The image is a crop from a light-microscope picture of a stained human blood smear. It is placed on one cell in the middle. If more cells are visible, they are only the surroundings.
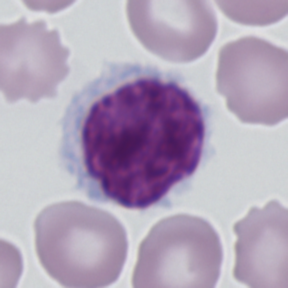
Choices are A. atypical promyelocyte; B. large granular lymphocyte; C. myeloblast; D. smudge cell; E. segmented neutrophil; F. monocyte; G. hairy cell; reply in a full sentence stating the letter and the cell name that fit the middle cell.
The correct option, G, names the middle cell as a hairy cell.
